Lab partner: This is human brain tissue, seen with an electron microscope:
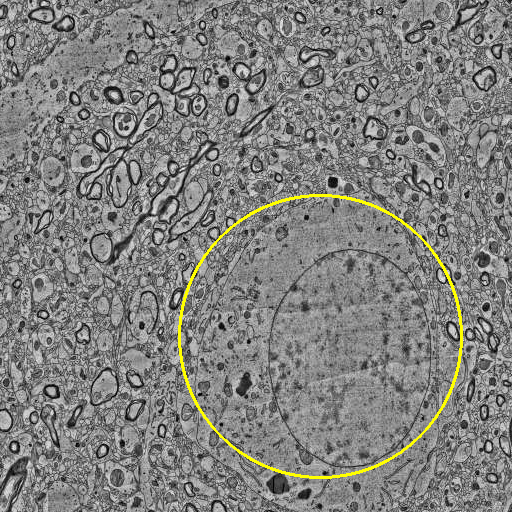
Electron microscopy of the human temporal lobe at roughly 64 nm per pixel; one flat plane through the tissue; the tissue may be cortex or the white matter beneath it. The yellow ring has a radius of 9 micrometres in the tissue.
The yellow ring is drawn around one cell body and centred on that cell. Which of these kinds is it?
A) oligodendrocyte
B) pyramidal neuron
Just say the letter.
B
